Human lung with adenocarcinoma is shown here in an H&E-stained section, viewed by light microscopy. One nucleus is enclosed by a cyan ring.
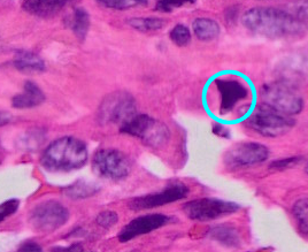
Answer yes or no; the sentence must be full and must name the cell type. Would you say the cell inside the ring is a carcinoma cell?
Yes, to name the cell inside the ring a carcinoma cell is correct.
